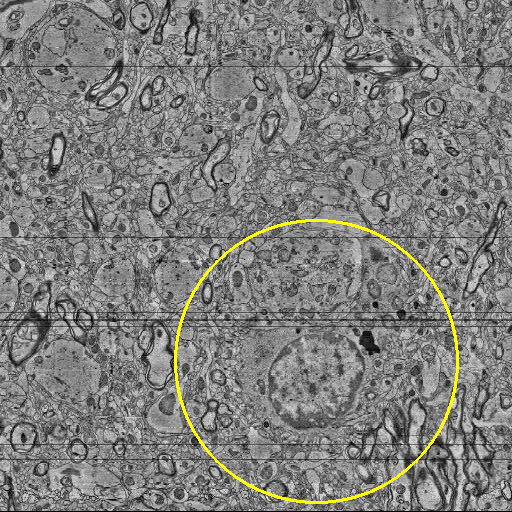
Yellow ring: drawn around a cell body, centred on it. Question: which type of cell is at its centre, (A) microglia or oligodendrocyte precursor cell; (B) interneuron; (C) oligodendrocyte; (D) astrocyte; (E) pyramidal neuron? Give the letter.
C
